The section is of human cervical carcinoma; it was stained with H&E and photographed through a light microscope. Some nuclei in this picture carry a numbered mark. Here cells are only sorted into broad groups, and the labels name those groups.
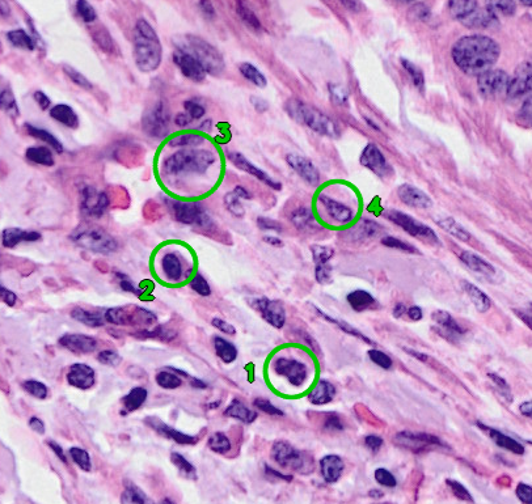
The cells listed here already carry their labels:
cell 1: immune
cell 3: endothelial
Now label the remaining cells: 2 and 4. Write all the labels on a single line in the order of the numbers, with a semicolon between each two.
immune; endothelial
